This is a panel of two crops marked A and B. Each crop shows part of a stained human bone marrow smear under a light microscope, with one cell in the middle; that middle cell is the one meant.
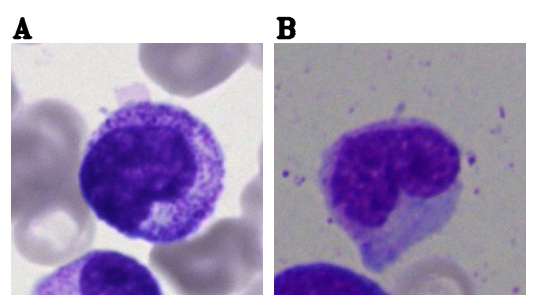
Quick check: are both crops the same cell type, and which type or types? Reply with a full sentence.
Yes, they do, both crops show metamyelocytes.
